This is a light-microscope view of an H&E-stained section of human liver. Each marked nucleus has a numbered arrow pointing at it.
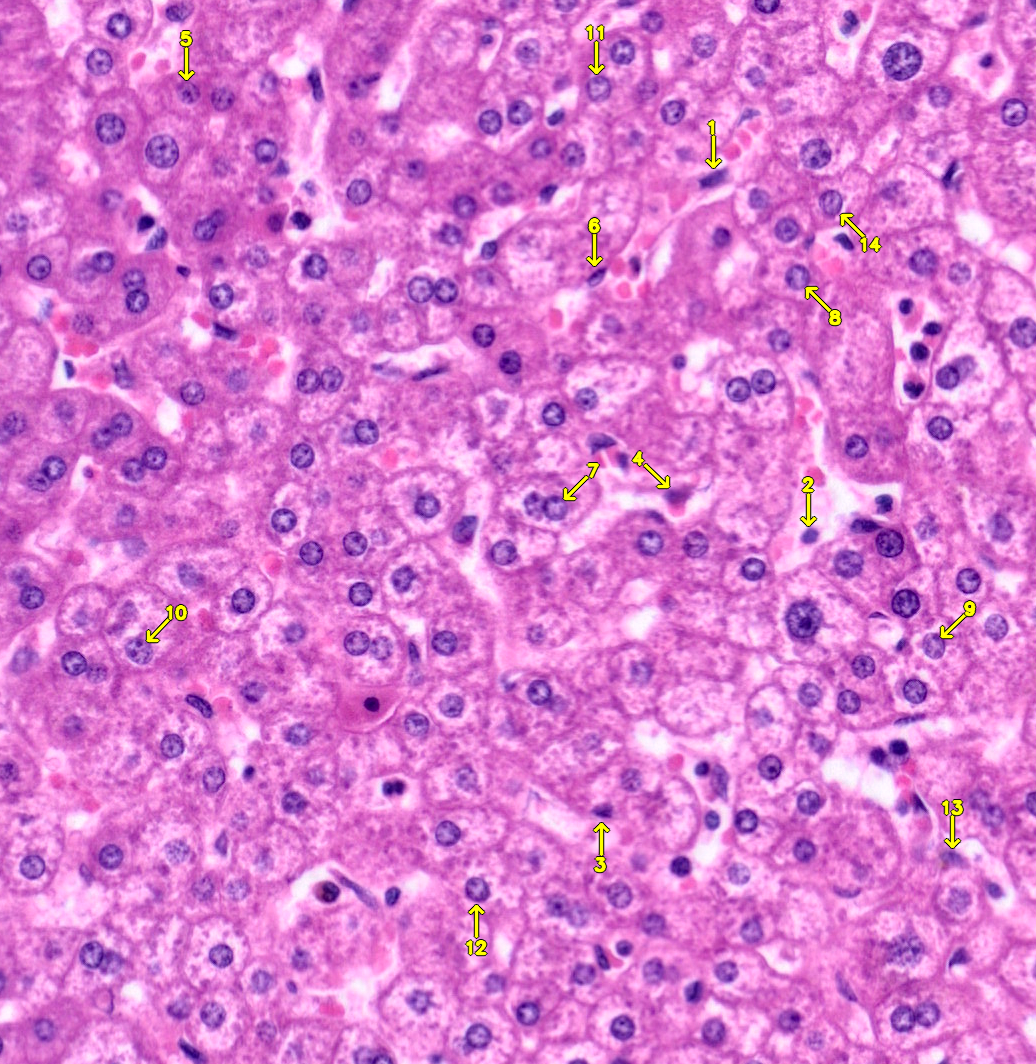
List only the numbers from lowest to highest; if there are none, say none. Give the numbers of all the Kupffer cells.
1, 4, 13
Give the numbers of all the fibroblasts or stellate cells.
3, 6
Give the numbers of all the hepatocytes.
5, 7, 8, 9, 10, 11, 12, 14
